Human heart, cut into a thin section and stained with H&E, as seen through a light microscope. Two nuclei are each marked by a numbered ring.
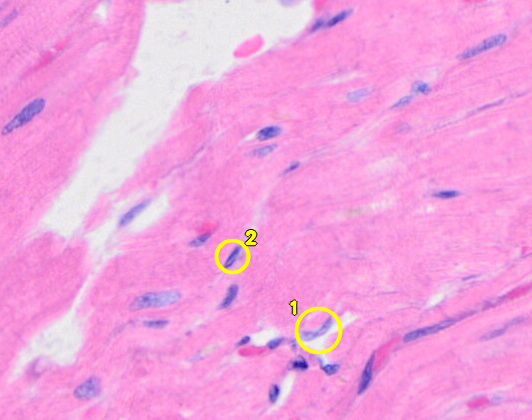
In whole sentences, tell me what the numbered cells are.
Cell 1 is a fibroblast and cell 2 is an endothelial cell.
